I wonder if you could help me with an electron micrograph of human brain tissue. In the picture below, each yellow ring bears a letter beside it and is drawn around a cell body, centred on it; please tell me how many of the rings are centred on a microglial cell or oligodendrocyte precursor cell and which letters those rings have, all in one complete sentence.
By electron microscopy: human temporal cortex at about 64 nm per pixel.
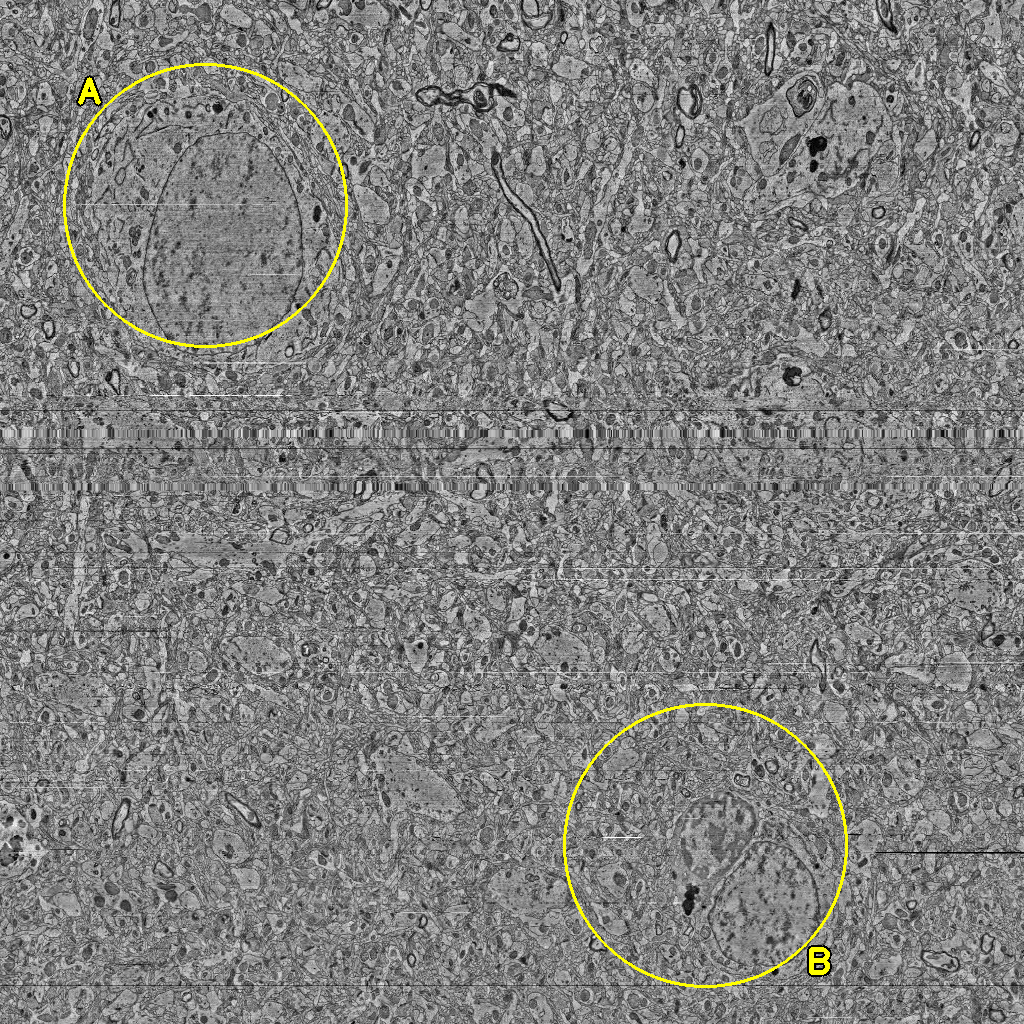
Among the lettered rings, none has a microglial cell or oligodendrocyte precursor cell at its centre, which makes the tally zero.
